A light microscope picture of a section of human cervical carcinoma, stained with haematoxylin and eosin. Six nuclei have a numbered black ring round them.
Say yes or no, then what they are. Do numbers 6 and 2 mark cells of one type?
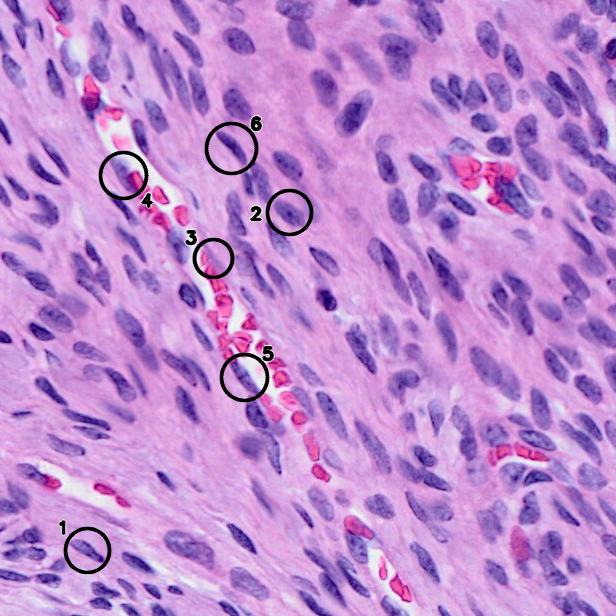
Yes, both are fibroblasts.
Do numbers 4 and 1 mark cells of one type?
No, cell 4 is an endothelial cell and cell 1 is a fibroblast.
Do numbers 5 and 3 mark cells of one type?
Yes, both are endothelial cells.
